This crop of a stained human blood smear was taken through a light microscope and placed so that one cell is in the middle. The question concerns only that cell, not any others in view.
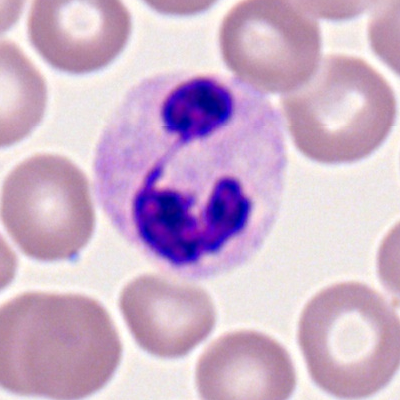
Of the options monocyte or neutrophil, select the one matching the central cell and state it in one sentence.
The central cell shown in this smear crop is a neutrophil.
